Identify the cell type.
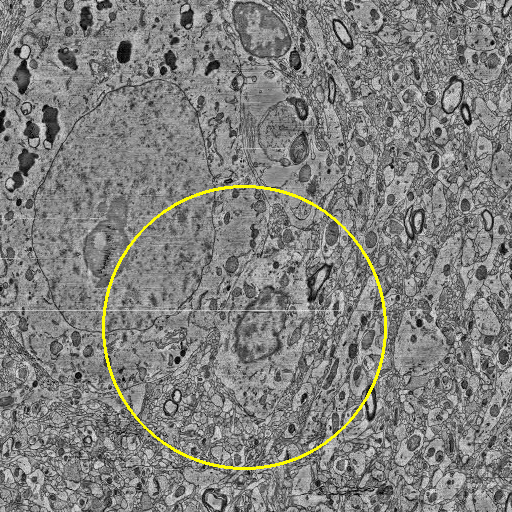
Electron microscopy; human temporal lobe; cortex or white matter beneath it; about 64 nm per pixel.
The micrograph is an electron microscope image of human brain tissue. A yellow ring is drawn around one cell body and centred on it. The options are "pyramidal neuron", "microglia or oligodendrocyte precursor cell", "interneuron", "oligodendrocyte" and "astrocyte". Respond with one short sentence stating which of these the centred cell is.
The cell body in the ring belongs to an interneuron.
